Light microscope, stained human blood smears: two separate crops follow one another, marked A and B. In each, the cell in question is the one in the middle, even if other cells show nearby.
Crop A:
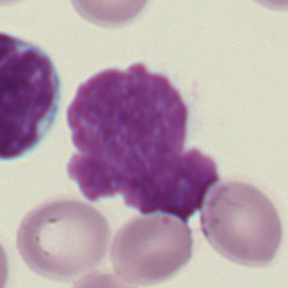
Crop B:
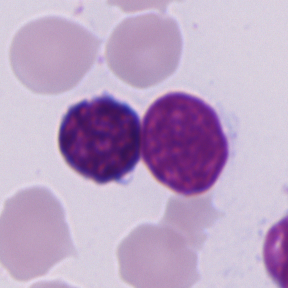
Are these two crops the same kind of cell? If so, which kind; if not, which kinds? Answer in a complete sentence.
No, crop A matches a smudge cell and crop B matches a myeloblast.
